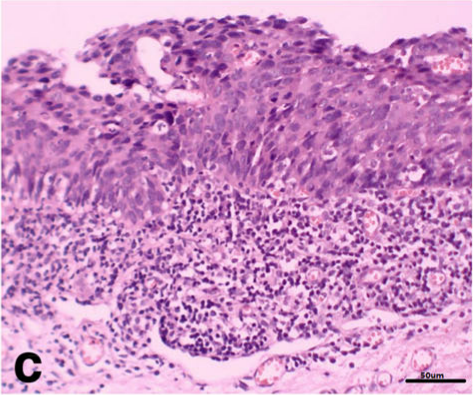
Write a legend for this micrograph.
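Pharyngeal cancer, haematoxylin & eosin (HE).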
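The upper part consists of crowded cells with enlarged, dark, irregular nuclei and no orderly layering toward the surface. Beneath it the stroma is packed with small round dark inflammatory cells. Small blood vessels lie in the stroma at the bottom and within the epithelium near the surface.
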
